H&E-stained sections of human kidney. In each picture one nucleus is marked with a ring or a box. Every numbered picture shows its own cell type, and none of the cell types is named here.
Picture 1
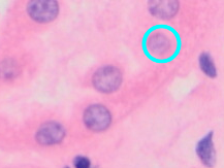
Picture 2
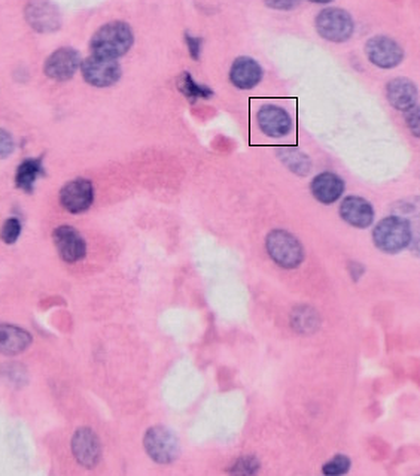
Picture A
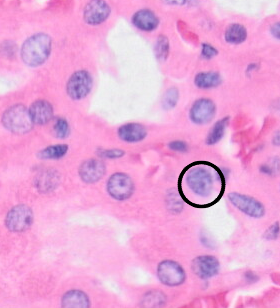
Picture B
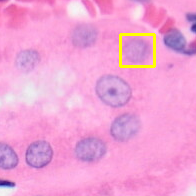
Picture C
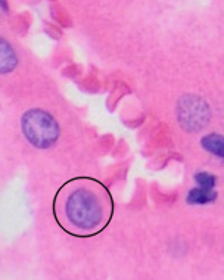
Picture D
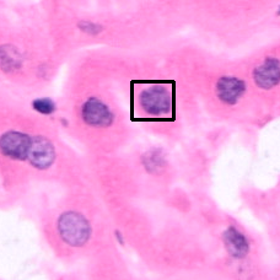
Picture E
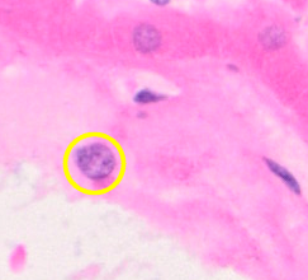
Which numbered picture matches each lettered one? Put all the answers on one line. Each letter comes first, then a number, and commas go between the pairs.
A 2, B 1, C 1, D 1, E 1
